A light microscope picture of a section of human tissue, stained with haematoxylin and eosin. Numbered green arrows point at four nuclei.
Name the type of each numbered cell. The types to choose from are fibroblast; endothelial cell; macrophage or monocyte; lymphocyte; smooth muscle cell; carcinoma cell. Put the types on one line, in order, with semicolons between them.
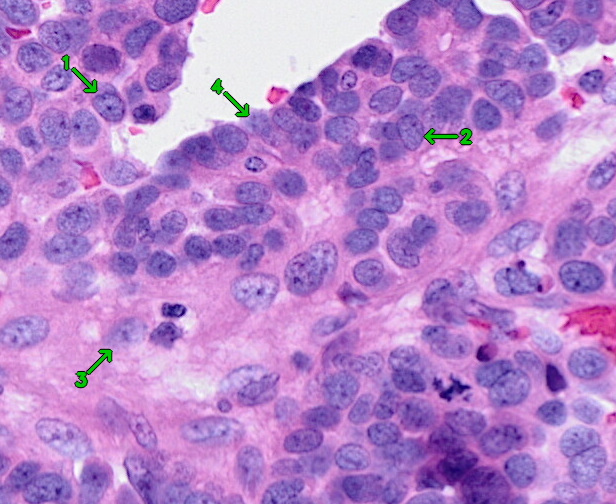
carcinoma cell; carcinoma cell; fibroblast; carcinoma cell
